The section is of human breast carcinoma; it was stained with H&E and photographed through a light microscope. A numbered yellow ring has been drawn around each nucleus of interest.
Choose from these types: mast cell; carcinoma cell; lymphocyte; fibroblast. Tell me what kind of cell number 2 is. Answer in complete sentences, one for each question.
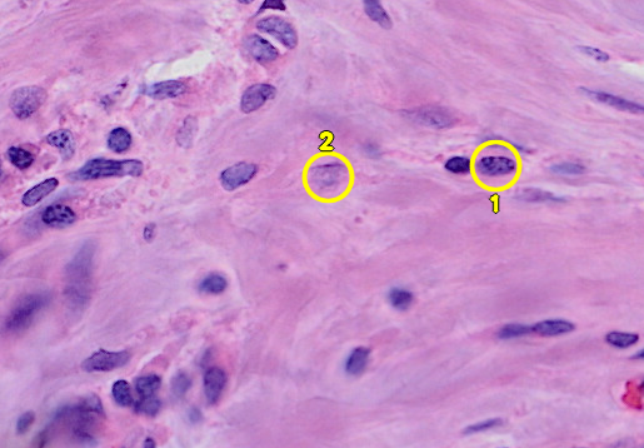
The cell carrying label 2 is identified as a fibroblast.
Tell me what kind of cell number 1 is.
The marked nucleus 1 is that of a mast cell.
